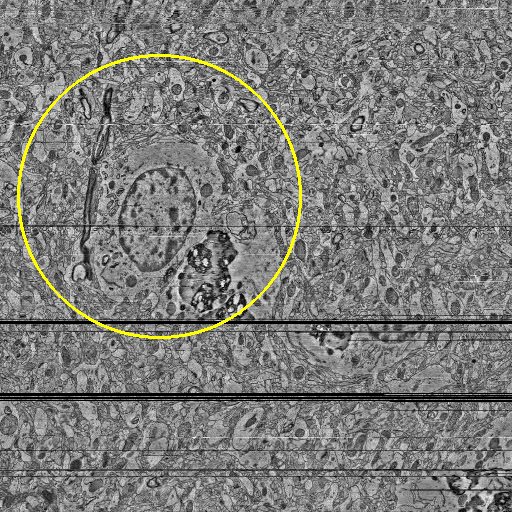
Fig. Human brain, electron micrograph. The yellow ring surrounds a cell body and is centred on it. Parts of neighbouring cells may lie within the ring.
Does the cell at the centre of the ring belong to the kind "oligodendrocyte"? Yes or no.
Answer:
no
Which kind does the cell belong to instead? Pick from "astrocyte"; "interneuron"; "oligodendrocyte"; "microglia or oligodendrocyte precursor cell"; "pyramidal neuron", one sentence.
The ringed cell in this picture is, instead, an astrocyte.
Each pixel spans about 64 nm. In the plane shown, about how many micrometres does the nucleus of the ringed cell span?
Roughly 7 by 5 micrometers, clearly longer than it is wide in this plane.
